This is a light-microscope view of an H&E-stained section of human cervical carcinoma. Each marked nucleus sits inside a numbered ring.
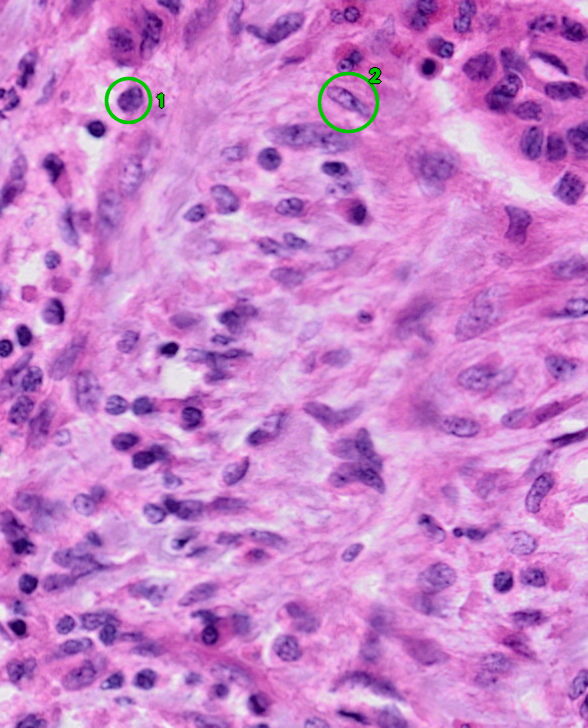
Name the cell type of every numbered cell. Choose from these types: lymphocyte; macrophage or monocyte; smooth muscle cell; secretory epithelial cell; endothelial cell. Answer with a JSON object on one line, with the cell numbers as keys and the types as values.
{"1": "macrophage or monocyte", "2": "endothelial cell"}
